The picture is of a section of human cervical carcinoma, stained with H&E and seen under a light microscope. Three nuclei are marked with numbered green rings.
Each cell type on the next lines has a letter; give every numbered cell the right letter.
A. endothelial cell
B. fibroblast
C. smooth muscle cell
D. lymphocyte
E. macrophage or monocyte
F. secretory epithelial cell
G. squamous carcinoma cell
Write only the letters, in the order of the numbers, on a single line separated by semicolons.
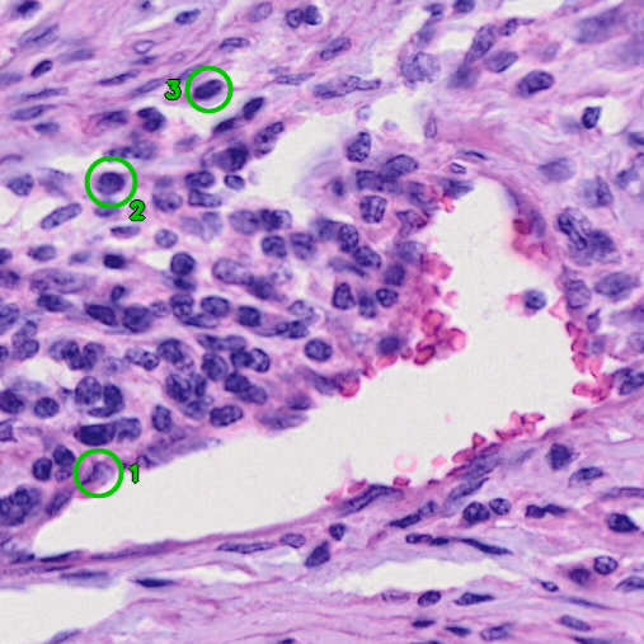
A; D; D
